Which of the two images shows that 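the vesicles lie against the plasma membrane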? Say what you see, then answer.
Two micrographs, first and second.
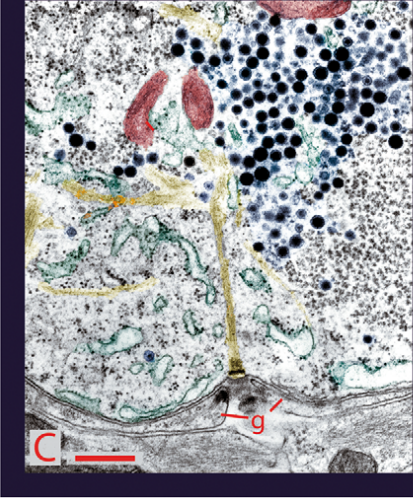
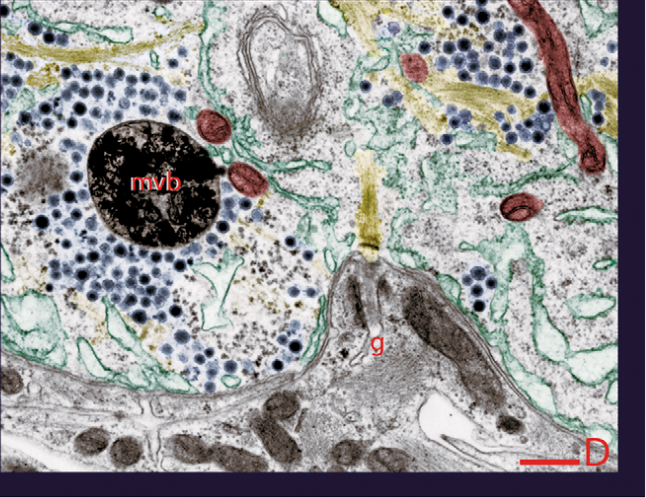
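The second image. Second image: blue vesicles come close to the plasma membrane near where a yellow bundle meets it. First image: the blue vesicles lie in the upper cytoplasm, separated from the plasma membrane by a wide zone of cytoplasm.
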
